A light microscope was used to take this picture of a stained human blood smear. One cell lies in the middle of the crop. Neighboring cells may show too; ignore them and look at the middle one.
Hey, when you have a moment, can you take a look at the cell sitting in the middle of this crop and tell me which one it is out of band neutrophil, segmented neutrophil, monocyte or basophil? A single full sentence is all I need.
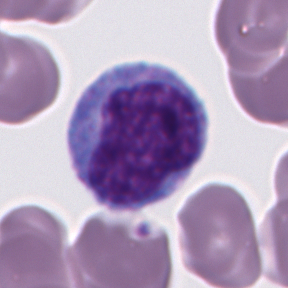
The centrally positioned cell in the crop represents a monocyte.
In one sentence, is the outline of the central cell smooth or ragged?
There are no projections here; the outline is simply smooth.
